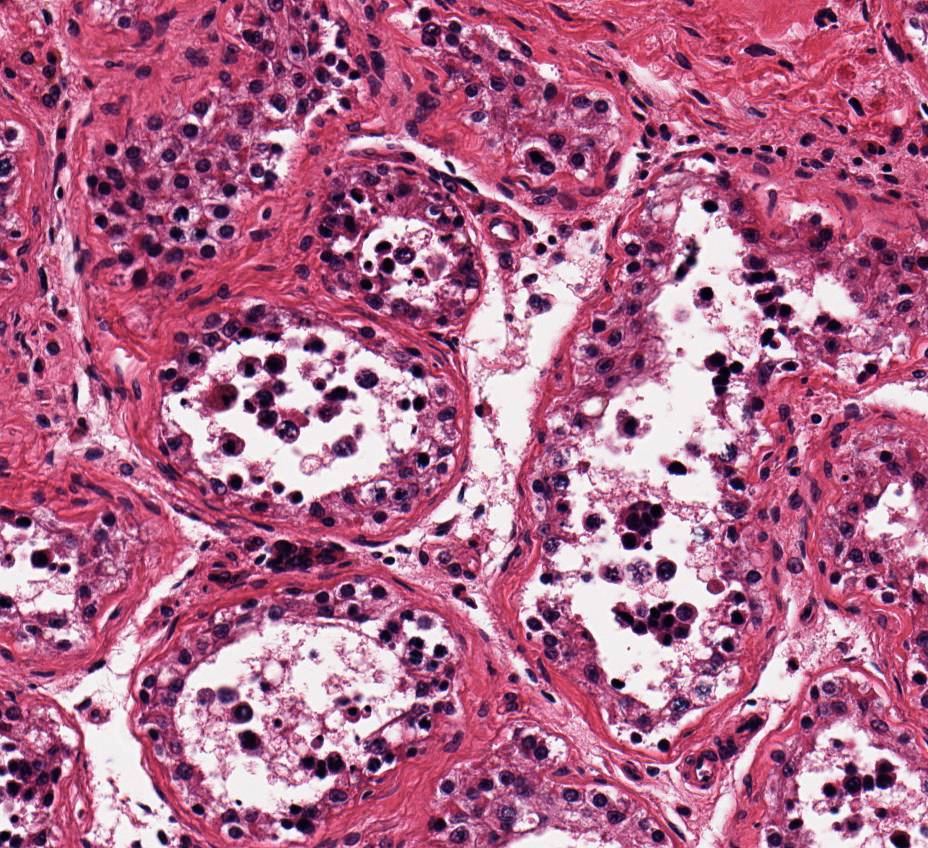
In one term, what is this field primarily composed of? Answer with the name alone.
seminiferous tubule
